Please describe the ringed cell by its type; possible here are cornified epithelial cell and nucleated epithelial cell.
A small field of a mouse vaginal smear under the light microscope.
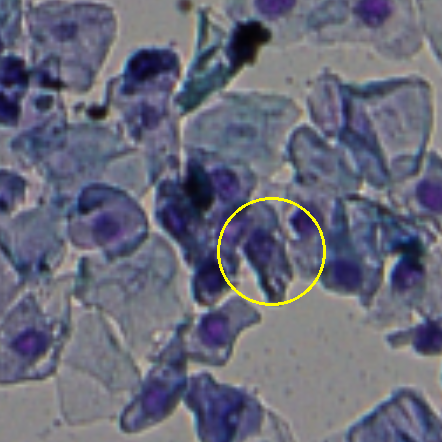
The yellow ring marks a nucleated epithelial cell.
